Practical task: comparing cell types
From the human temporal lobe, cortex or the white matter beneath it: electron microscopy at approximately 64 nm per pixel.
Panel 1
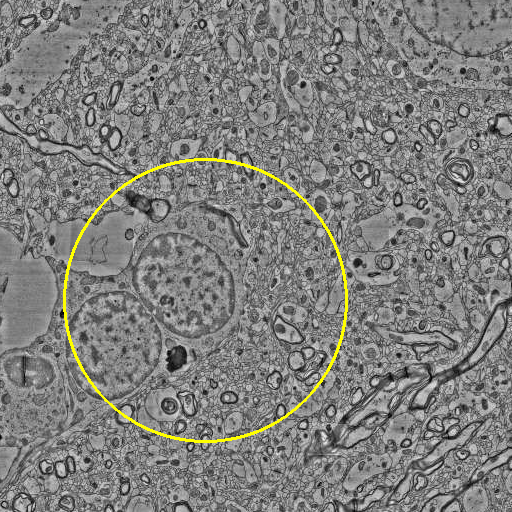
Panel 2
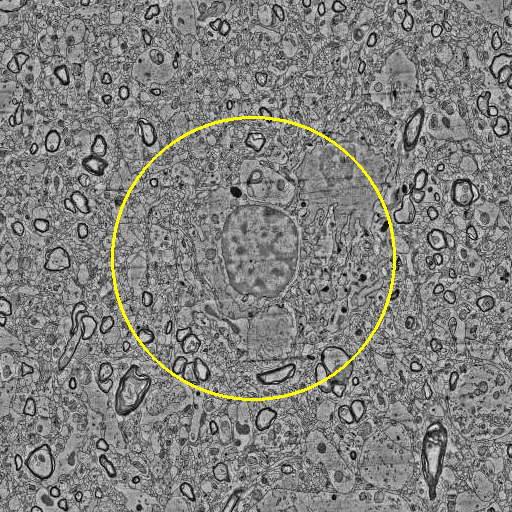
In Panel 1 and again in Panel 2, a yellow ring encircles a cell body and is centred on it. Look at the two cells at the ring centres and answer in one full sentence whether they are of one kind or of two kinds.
The two cells sitting at the ring centres of Panels 1 and 2 are of one kind.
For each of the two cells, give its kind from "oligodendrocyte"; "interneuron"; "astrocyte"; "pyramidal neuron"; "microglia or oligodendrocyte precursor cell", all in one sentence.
Each of the two rings surrounds an oligodendrocyte.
